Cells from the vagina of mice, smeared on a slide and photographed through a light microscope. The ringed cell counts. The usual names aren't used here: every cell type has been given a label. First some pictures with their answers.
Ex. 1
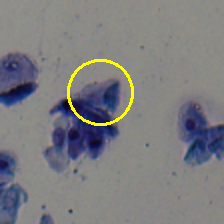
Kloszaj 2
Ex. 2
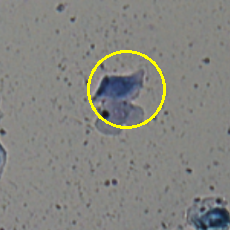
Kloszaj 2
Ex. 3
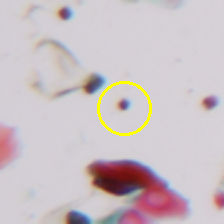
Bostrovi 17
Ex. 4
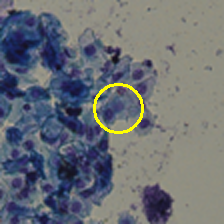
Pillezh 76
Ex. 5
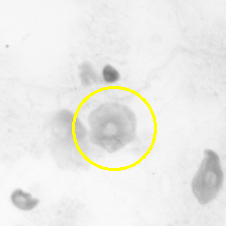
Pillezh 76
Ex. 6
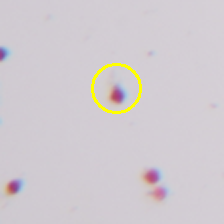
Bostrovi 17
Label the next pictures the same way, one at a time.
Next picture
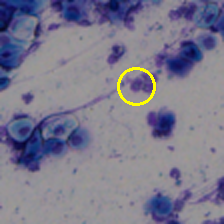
Bostrovi 17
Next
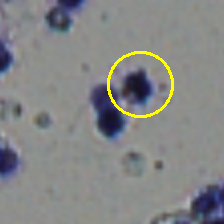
Bostrovi 17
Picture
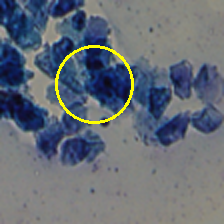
Kloszaj 2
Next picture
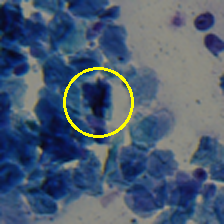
Kloszaj 2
